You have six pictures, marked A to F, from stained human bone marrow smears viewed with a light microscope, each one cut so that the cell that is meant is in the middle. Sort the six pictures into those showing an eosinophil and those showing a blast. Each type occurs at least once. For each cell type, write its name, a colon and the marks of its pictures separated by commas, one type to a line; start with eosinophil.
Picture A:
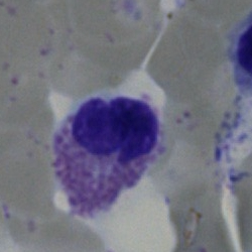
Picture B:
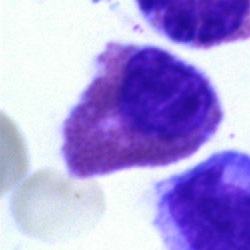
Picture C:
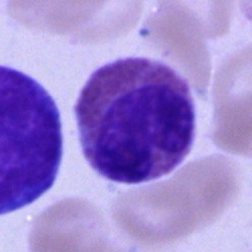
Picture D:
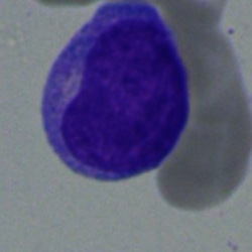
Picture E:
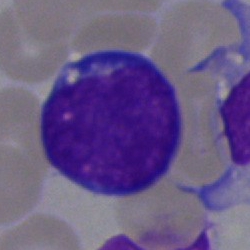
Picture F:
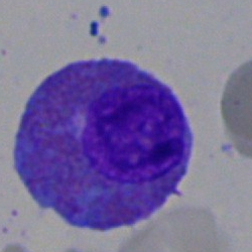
eosinophil: A, B, C, F
blast: D, E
